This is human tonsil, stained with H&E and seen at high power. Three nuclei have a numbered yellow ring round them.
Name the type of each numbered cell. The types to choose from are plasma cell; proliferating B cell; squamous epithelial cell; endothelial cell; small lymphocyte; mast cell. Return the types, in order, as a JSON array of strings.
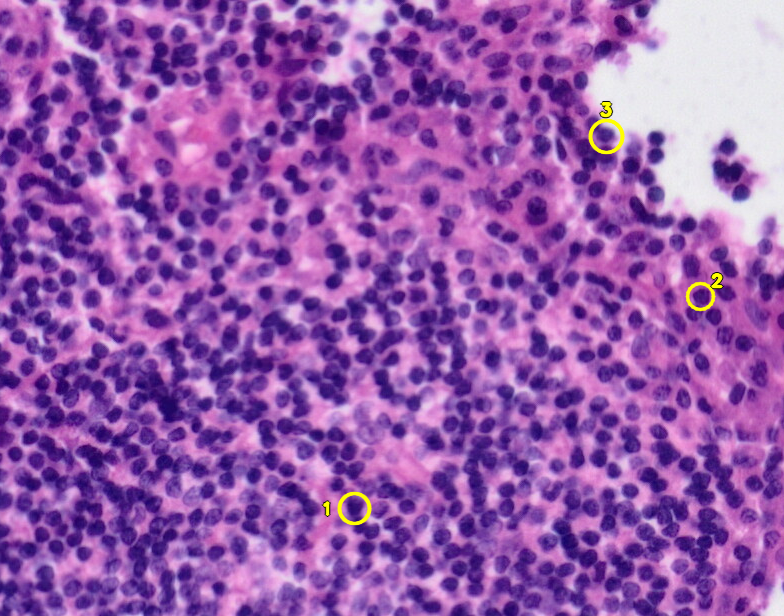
["small lymphocyte", "plasma cell", "small lymphocyte"]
